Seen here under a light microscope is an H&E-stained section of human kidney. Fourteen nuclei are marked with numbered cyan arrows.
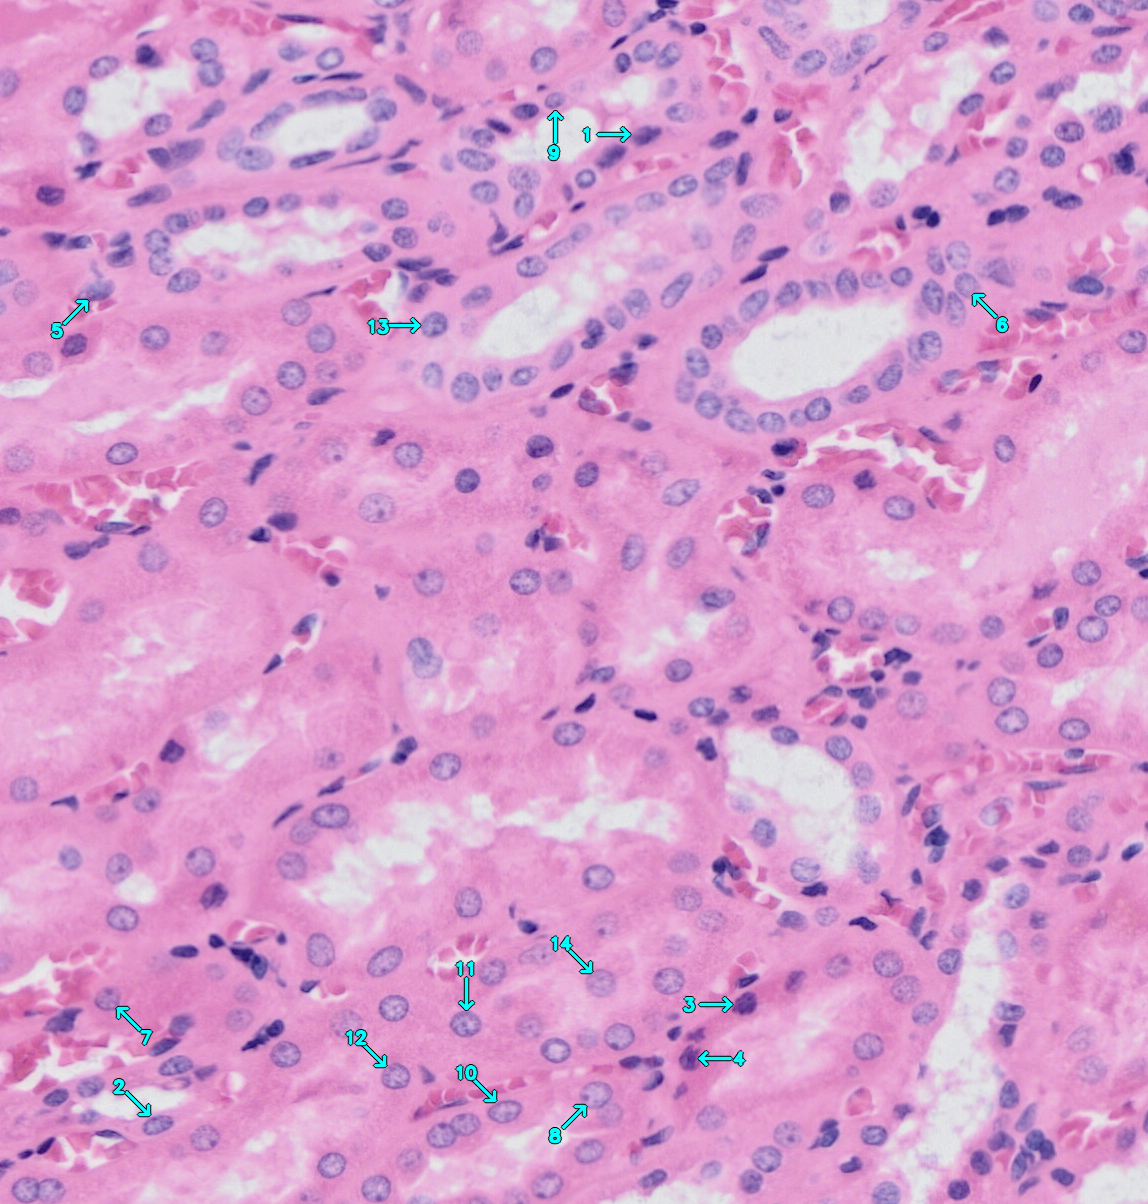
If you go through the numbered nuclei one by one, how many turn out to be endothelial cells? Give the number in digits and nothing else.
1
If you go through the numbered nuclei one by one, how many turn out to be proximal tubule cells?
8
